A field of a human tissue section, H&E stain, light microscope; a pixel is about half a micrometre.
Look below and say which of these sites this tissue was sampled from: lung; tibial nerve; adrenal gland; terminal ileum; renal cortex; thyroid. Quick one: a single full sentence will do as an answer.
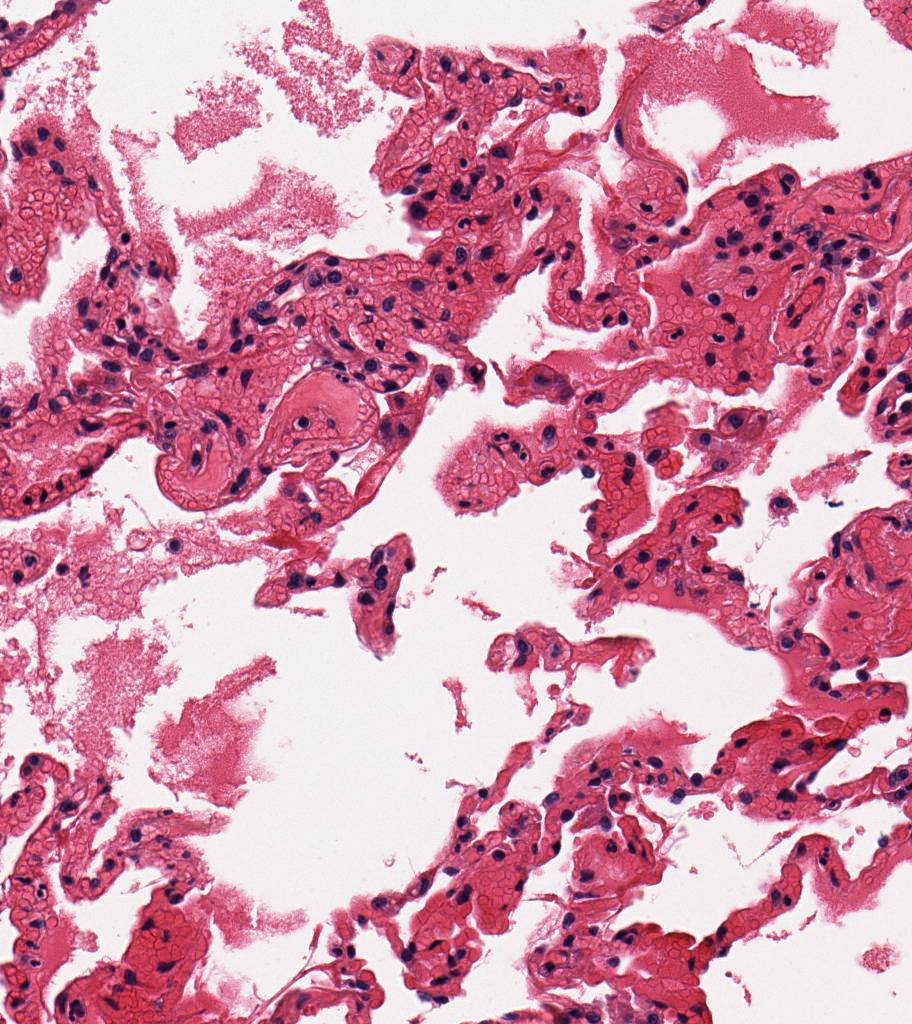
The site sampled for this tissue was the lung.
